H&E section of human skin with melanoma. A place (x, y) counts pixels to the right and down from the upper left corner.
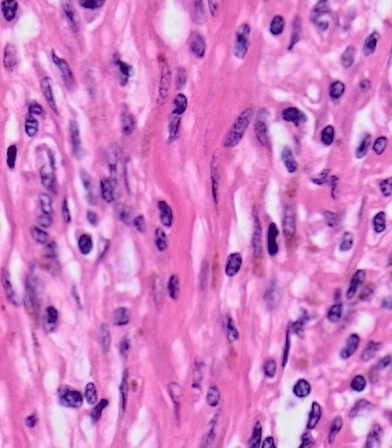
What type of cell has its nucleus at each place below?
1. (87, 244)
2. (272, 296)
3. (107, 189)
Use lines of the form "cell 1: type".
cell 1: lymphocyte
cell 2: fibroblast or myofibroblast
cell 3: plasma cell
